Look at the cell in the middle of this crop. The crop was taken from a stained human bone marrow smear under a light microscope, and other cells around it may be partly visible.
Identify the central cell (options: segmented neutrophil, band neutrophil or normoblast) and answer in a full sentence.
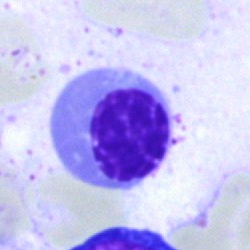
Whatever else lies nearby, the middle cell is a normoblast.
